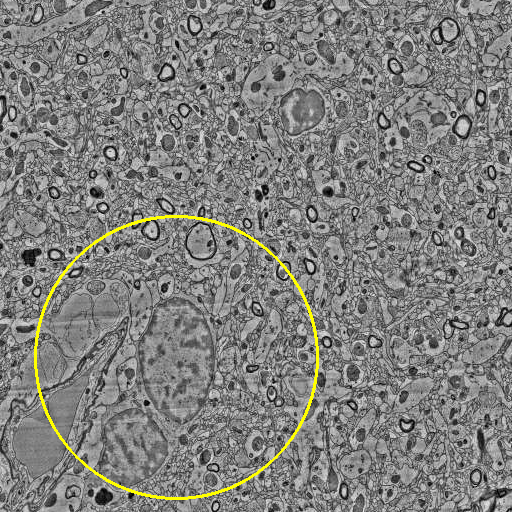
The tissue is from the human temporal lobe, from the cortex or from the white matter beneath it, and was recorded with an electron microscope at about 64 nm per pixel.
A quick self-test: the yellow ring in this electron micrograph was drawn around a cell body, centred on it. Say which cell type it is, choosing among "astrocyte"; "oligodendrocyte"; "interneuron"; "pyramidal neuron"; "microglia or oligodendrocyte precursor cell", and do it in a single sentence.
The yellow-ringed cell is an oligodendrocyte.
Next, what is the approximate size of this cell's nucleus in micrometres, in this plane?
The nucleus of the ringed cell is clearly longer than it is wide in this plane, about 8 by 5 micrometres.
